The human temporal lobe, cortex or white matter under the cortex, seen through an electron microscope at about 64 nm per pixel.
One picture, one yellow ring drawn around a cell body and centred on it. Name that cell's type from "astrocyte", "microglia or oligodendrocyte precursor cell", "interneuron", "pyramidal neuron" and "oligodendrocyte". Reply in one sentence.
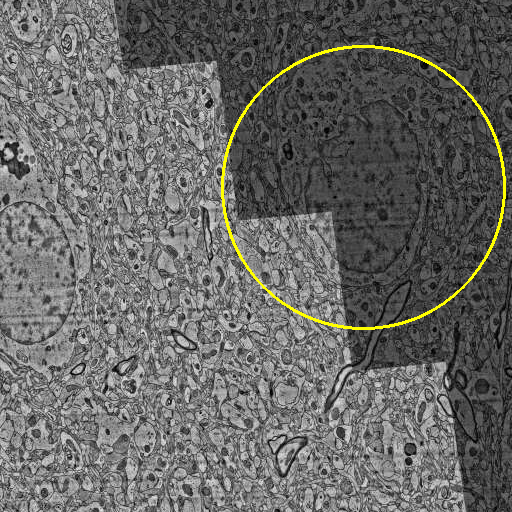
Centred in the ring is an interneuron.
